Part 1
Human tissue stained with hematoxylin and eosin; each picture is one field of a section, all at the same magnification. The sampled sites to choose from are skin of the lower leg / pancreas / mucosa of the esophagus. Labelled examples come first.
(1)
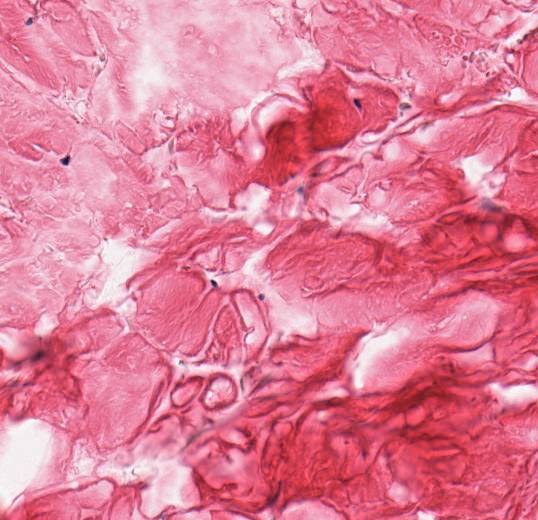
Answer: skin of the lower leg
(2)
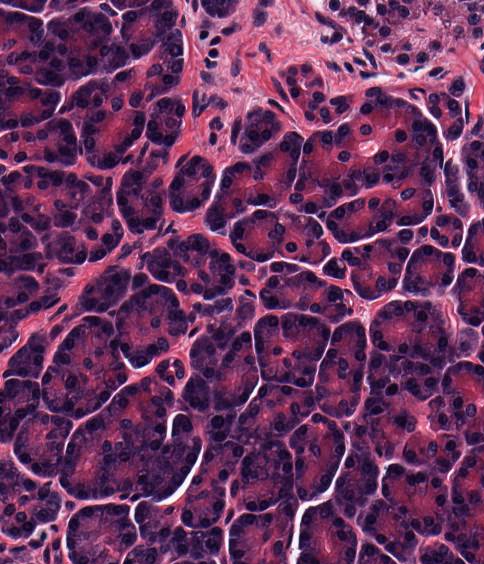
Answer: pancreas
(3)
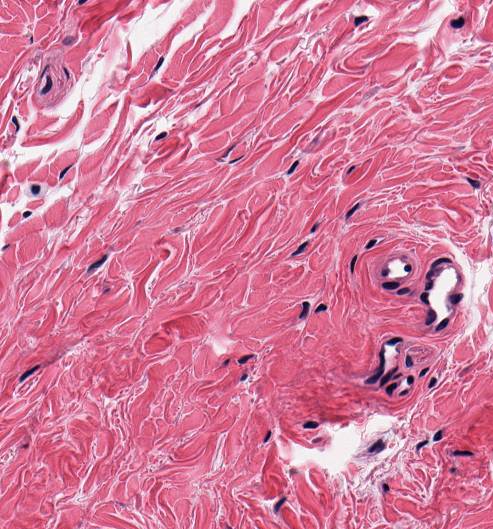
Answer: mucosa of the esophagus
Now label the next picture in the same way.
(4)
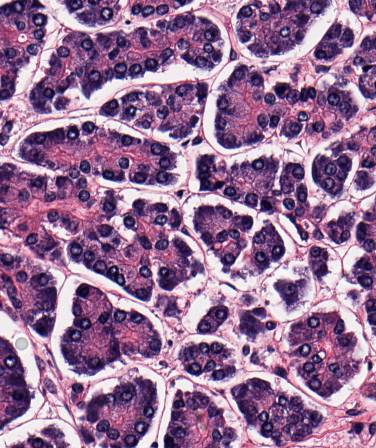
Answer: pancreas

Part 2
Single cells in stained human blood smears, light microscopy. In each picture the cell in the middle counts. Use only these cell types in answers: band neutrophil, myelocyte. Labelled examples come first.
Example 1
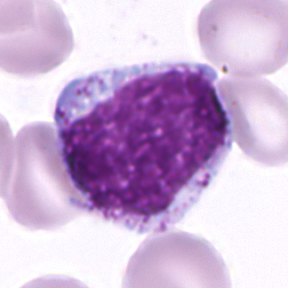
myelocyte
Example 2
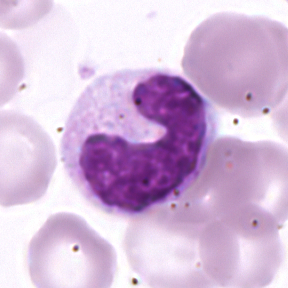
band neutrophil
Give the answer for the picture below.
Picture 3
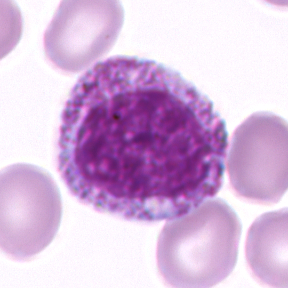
myelocyte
